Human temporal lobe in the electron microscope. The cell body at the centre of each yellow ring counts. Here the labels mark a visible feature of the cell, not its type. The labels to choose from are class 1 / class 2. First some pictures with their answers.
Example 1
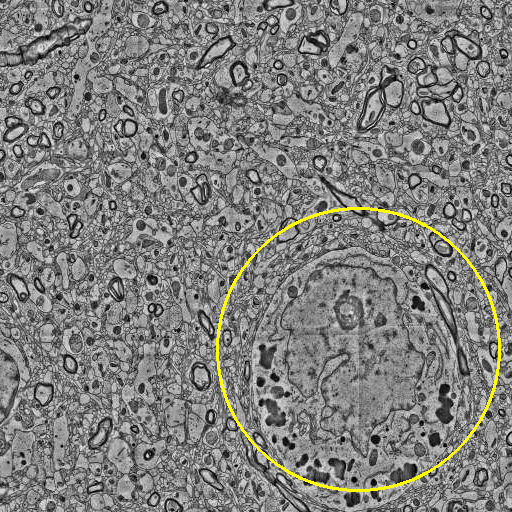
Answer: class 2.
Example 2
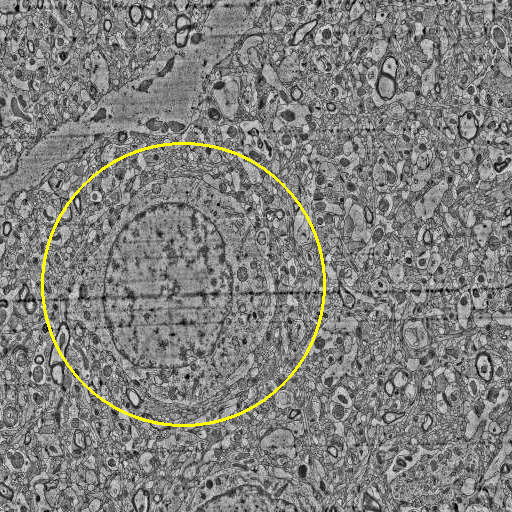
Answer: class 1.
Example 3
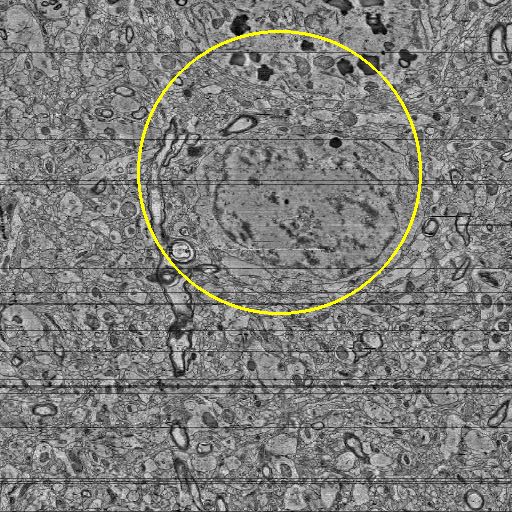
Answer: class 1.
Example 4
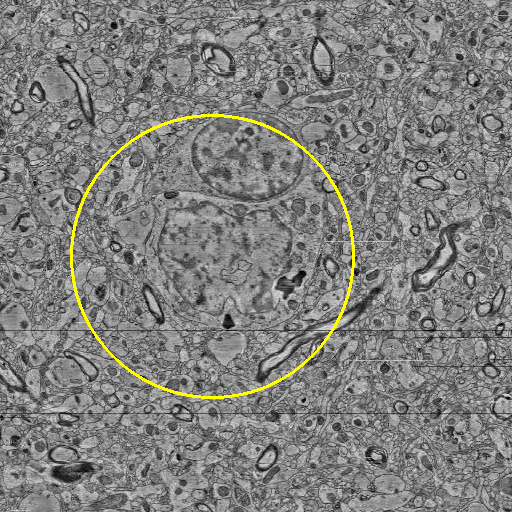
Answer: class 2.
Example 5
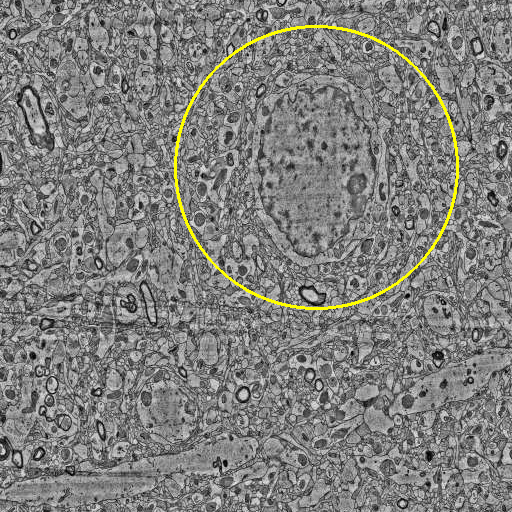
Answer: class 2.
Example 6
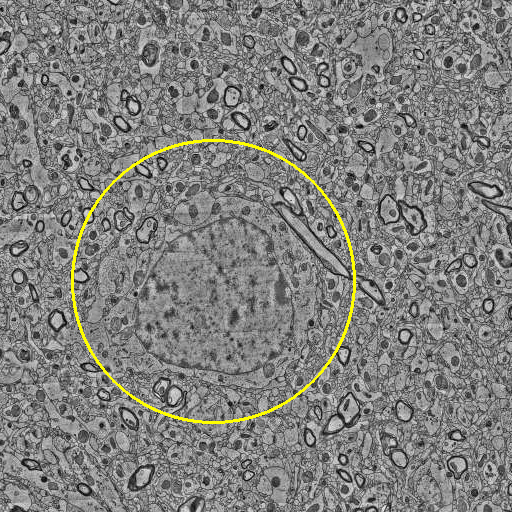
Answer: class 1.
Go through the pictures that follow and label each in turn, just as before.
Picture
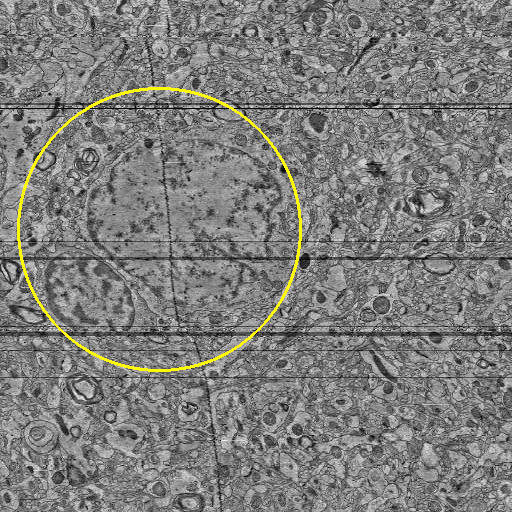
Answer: class 1.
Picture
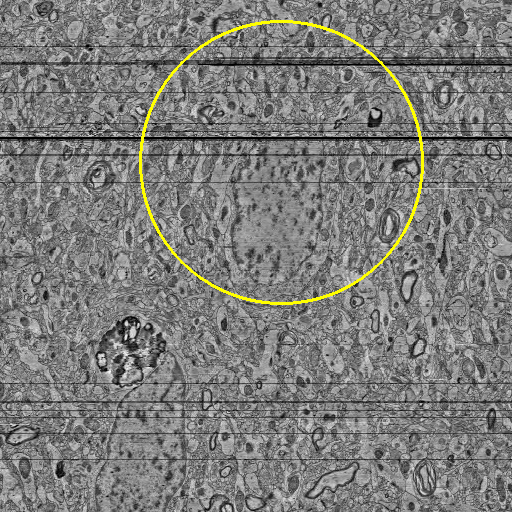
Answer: class 1.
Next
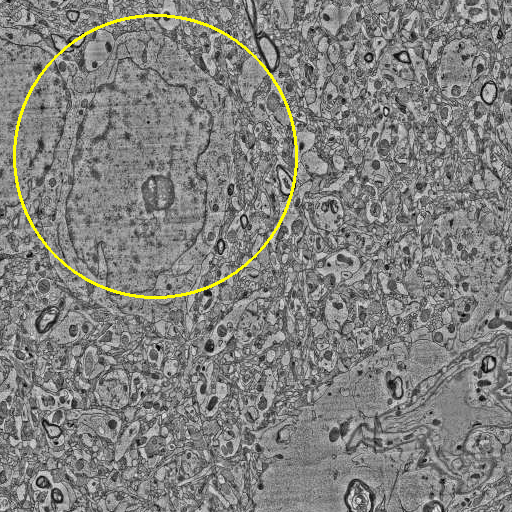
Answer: class 2.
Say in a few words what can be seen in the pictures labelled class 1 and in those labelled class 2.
class 1, smooth nuclear envelopes without deep folds; class 2, deeply folded or indented nuclear envelopes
